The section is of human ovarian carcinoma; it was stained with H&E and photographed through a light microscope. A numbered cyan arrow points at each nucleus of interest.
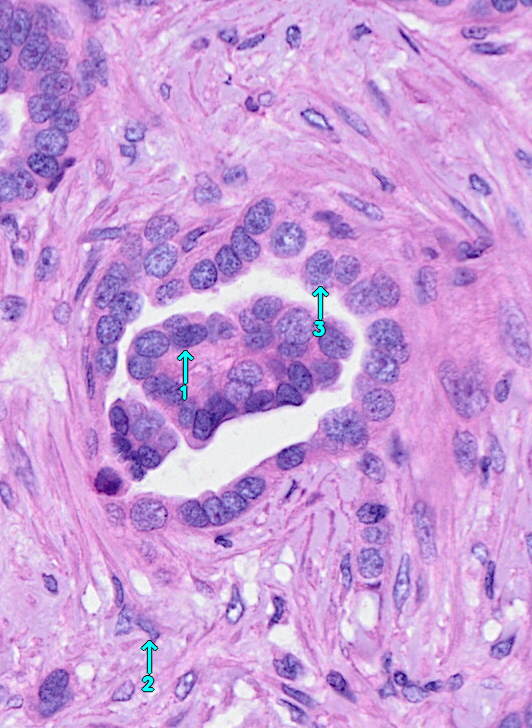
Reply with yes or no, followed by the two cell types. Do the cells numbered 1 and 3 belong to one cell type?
Yes, for cells 1 and 3 alike, the identity is that of carcinoma cells.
